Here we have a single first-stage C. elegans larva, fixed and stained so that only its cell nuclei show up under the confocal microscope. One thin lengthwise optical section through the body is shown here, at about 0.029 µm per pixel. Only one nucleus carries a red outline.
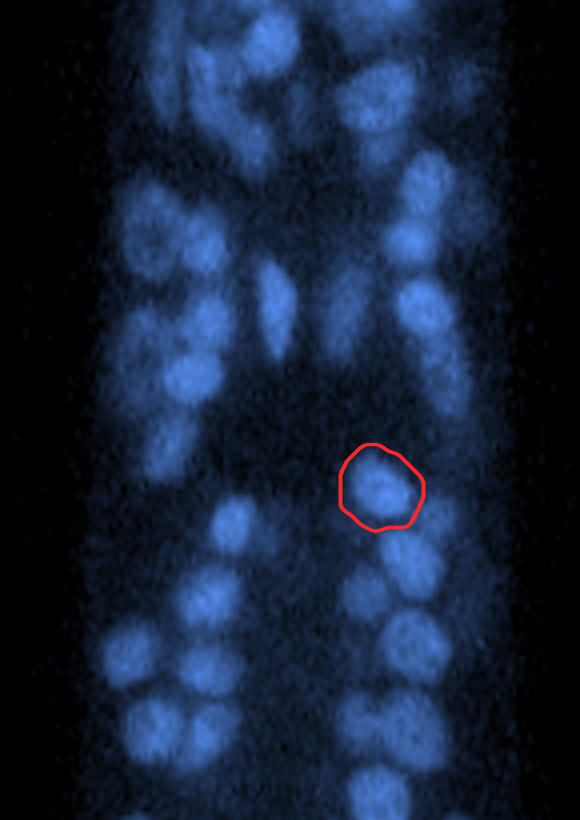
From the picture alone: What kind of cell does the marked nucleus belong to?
GLR cell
